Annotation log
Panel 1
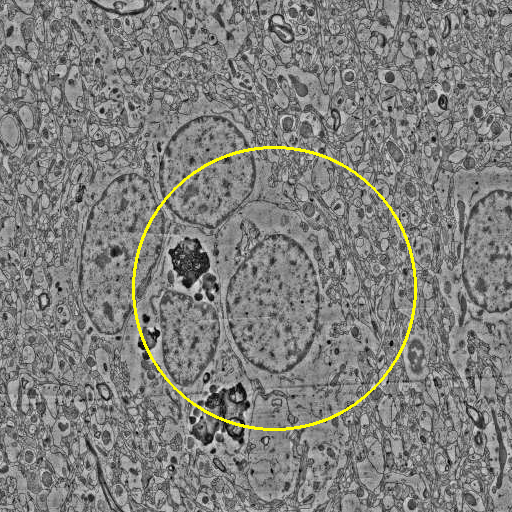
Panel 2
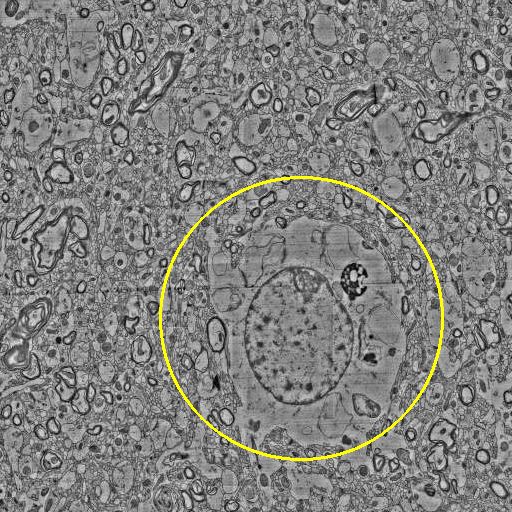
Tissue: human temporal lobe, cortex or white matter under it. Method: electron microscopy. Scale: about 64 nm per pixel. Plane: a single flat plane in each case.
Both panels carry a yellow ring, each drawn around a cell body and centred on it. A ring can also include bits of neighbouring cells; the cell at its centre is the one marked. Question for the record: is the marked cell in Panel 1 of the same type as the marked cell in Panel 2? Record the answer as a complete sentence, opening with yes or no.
Yes, the marked cells in Panel 1 and Panel 2 are of the same type.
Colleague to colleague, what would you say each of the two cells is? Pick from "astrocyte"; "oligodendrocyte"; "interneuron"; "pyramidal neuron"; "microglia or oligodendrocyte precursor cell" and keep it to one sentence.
Each of the two pictures has an astrocyte at the ring centre.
